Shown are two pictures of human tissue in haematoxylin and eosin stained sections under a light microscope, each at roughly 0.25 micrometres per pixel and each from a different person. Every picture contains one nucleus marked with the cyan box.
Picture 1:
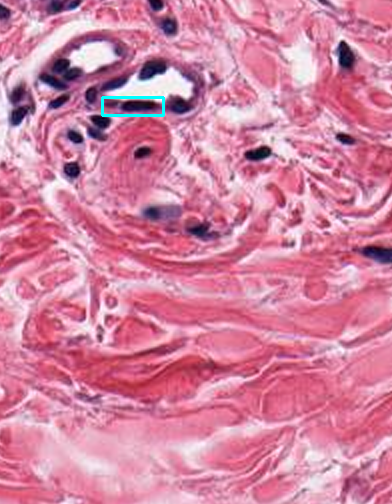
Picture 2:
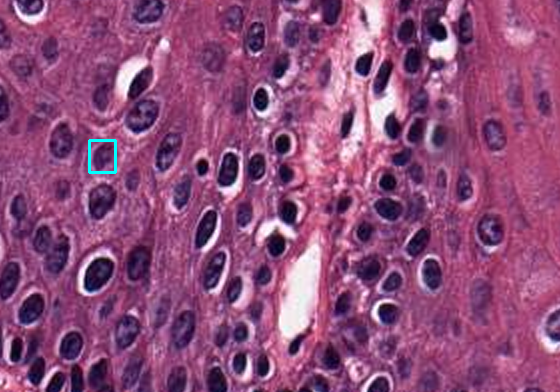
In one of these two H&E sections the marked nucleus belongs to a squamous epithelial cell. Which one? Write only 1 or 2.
2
